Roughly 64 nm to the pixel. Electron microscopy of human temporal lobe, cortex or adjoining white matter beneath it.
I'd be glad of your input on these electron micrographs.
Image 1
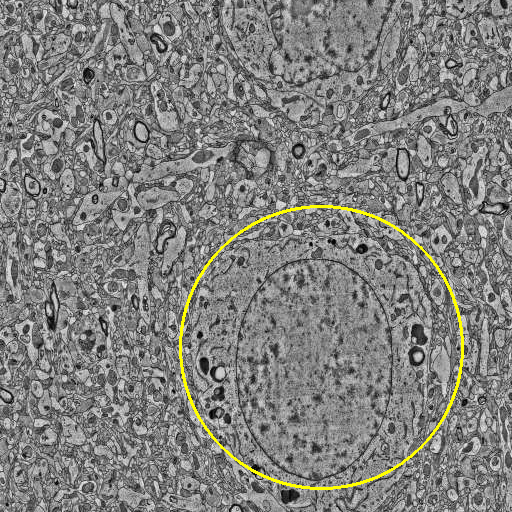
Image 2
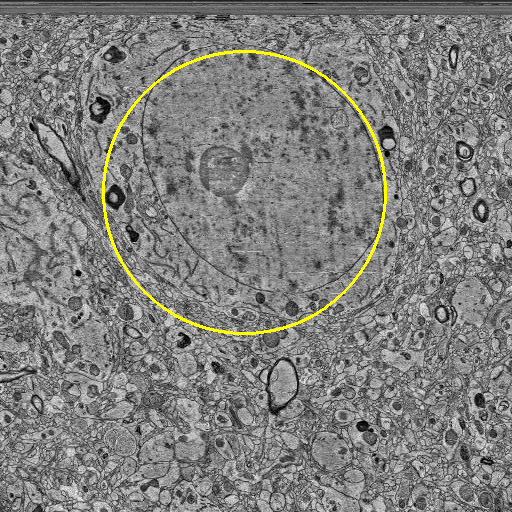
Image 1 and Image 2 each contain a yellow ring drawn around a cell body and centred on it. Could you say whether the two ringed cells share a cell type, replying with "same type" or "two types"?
same type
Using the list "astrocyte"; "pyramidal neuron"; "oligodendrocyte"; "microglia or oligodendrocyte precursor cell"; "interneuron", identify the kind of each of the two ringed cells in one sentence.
In each picture the ringed cell is a pyramidal neuron.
